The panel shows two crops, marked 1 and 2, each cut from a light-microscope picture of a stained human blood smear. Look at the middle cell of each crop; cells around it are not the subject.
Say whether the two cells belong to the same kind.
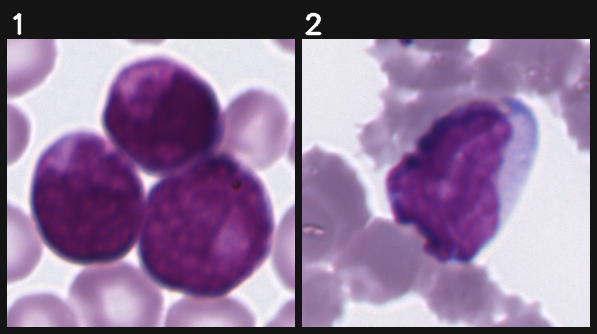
yes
